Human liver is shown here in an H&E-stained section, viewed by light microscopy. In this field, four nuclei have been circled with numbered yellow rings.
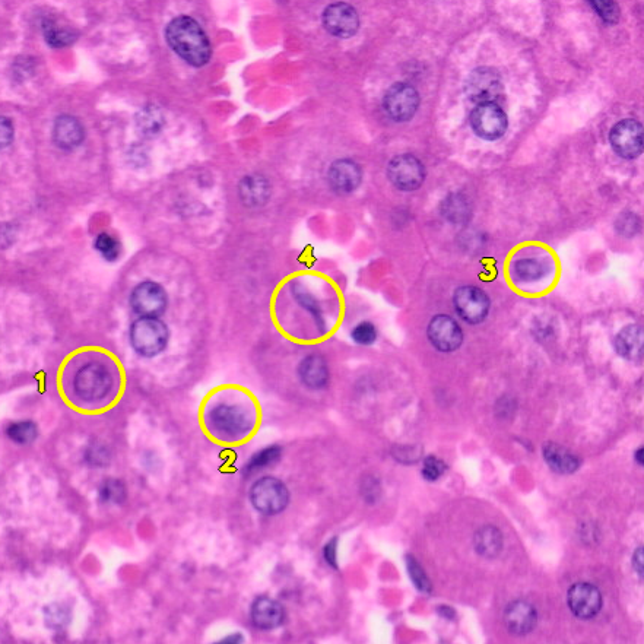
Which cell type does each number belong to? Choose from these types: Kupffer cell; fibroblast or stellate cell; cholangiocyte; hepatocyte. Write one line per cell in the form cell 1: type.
cell 1: hepatocyte
cell 2: Kupffer cell
cell 3: Kupffer cell
cell 4: fibroblast or stellate cell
